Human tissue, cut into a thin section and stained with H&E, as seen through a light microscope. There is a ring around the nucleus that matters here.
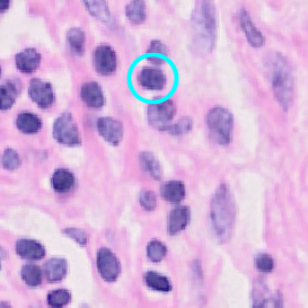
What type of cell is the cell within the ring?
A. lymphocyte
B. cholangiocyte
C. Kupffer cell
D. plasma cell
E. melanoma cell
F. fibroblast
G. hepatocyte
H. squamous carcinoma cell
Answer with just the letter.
A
